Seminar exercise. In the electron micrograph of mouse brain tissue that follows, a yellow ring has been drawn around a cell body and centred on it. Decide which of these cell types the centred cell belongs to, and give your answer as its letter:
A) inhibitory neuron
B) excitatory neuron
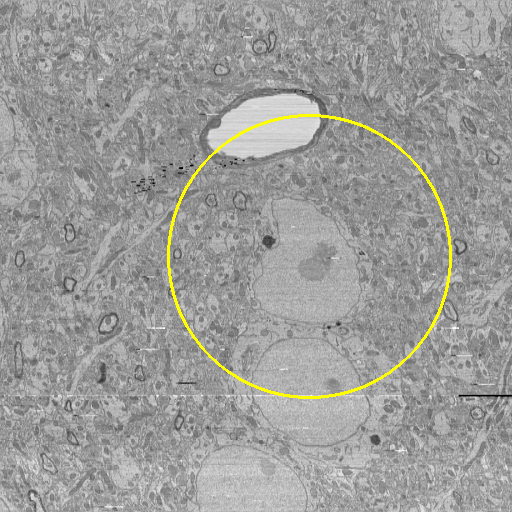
A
